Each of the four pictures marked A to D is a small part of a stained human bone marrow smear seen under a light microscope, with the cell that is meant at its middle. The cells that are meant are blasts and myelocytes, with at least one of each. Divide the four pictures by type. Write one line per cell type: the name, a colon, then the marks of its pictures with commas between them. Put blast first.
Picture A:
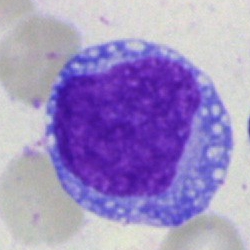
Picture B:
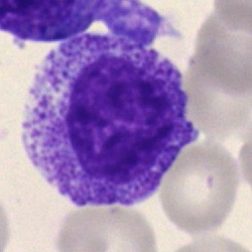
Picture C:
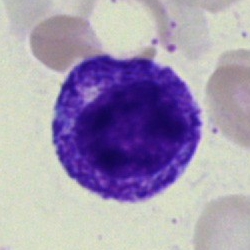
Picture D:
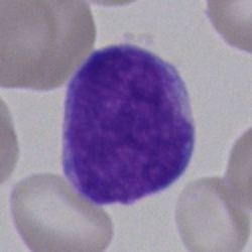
blast: A, D
myelocyte: B, C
